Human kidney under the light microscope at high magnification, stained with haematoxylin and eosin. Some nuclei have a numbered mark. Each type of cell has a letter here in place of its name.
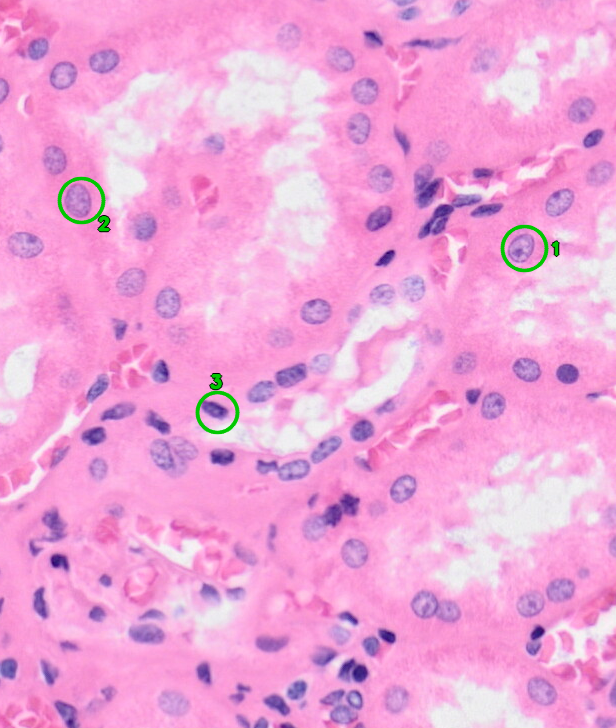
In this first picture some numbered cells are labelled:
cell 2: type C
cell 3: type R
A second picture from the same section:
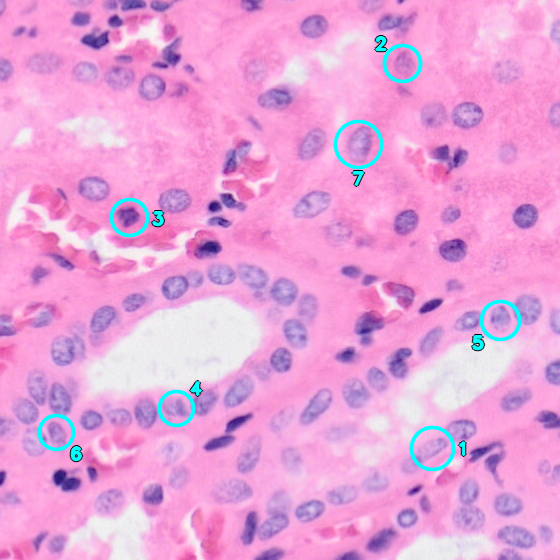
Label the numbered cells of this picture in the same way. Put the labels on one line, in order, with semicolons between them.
type R; type C; type C; type R; type R; type R; type C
